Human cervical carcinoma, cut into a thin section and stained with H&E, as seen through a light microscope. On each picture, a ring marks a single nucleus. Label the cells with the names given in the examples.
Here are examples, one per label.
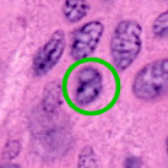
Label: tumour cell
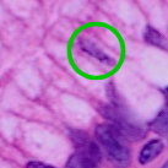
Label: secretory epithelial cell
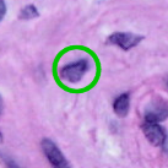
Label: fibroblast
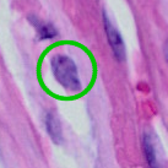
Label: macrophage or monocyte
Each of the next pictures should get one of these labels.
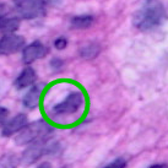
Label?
secretory epithelial cell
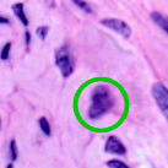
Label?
fibroblast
